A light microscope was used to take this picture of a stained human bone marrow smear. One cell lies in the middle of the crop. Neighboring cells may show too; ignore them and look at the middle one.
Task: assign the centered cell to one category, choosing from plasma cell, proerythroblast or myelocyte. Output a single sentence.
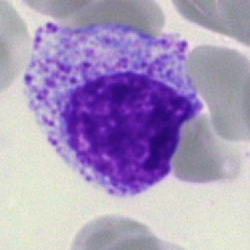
In this crop, the cell at the very middle is a myelocyte.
